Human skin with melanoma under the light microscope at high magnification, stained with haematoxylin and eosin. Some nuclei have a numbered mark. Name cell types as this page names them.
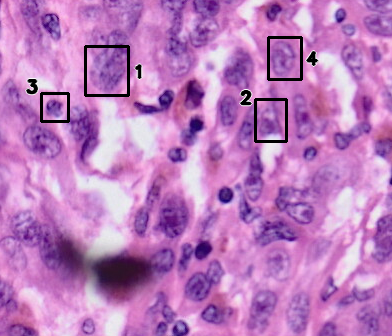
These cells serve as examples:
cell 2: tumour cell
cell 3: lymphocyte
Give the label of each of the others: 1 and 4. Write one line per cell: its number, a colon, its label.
1: tumour cell
4: tumour cell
